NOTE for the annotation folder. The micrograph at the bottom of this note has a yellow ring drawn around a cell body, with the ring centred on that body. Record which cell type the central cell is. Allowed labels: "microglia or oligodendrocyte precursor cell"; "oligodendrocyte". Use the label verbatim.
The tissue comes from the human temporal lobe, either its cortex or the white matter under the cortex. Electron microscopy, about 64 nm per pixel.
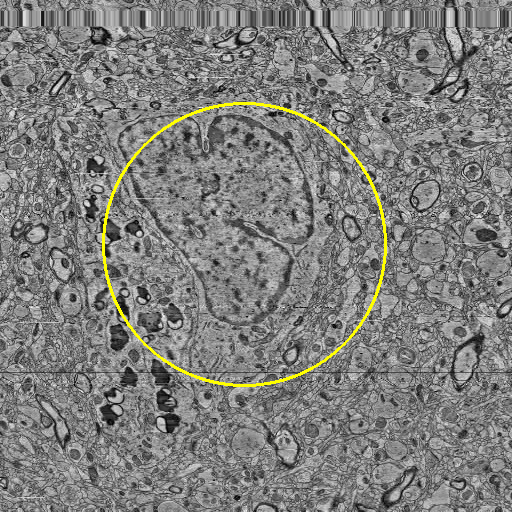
microglia or oligodendrocyte precursor cell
